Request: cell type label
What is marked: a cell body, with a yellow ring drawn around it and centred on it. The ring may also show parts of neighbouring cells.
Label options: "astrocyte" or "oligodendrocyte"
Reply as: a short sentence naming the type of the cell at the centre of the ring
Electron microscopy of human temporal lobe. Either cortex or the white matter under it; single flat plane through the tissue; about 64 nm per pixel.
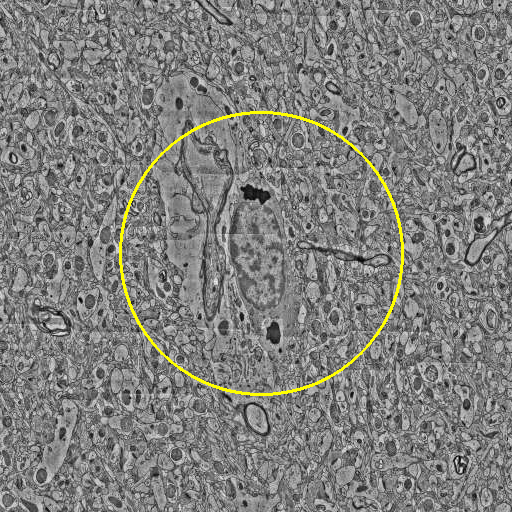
The marked cell body is that of an oligodendrocyte.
